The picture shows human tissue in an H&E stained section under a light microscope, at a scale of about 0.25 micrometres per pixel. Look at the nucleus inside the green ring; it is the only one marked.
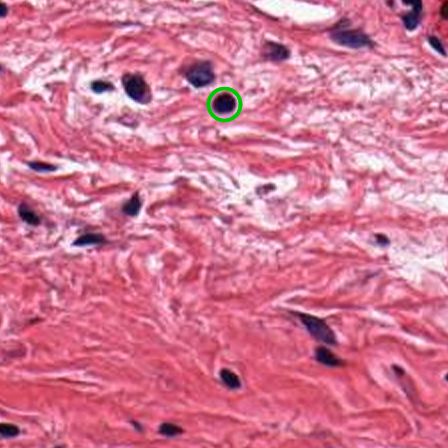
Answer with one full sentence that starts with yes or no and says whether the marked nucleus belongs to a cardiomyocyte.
No, rather than a cardiomyocyte, it is a supporting cell that contains the marked nucleus.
